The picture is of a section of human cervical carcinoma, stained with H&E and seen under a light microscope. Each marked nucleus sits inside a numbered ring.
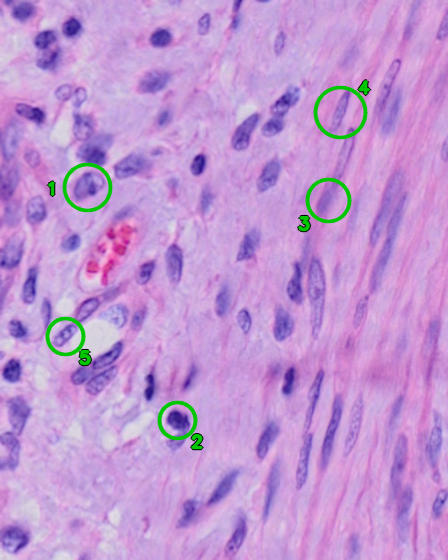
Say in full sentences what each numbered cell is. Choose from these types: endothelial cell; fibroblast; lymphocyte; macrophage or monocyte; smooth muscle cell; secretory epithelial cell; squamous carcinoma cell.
Cell 1 is a macrophage or monocyte. Cell 2 is a lymphocyte. Cells 3 and 4 are smooth muscle cells. Cell 5 is an endothelial cell.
